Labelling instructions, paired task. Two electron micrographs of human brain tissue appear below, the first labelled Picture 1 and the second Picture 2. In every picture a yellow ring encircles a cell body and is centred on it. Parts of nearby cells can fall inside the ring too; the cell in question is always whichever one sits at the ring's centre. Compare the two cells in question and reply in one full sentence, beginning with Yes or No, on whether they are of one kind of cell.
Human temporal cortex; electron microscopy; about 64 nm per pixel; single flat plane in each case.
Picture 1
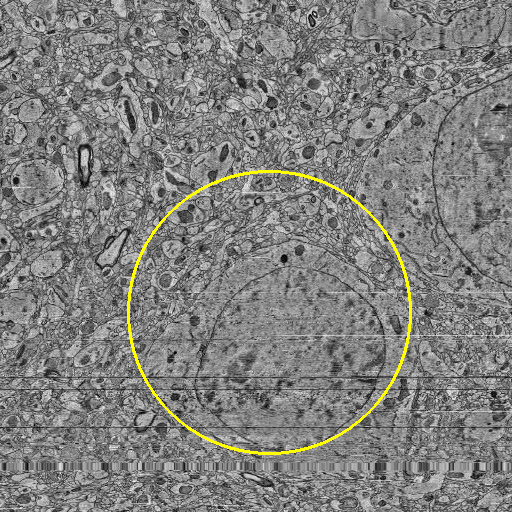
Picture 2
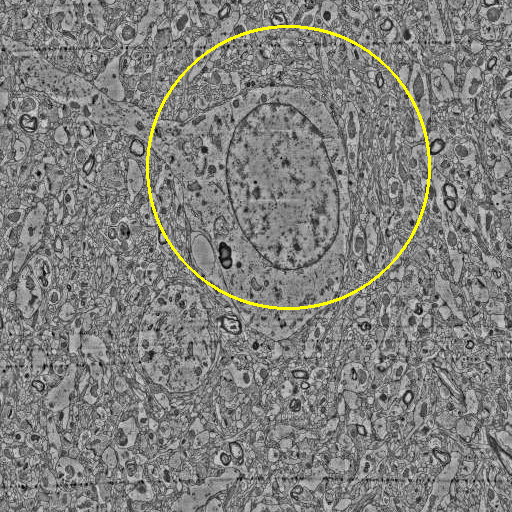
Yes, the two cells at the ring centres in Picture 1 and Picture 2 are of one kind.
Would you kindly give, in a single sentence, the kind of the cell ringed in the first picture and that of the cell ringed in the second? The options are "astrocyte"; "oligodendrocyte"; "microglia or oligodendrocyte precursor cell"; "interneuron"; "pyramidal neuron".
Each of the two rings surrounds a pyramidal neuron.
